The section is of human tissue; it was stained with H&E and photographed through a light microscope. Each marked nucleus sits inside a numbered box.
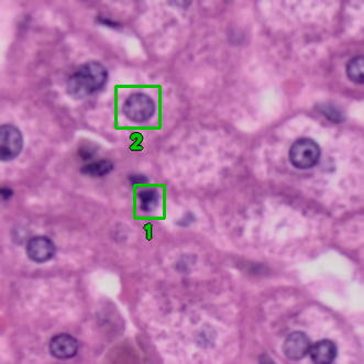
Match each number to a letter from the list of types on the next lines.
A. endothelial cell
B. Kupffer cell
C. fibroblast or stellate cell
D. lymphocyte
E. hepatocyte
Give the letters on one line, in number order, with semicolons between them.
C; E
